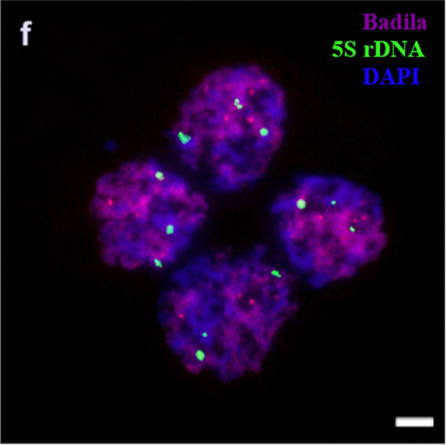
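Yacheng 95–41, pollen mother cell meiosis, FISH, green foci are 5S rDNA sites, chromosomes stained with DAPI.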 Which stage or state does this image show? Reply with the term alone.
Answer: Tetrad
